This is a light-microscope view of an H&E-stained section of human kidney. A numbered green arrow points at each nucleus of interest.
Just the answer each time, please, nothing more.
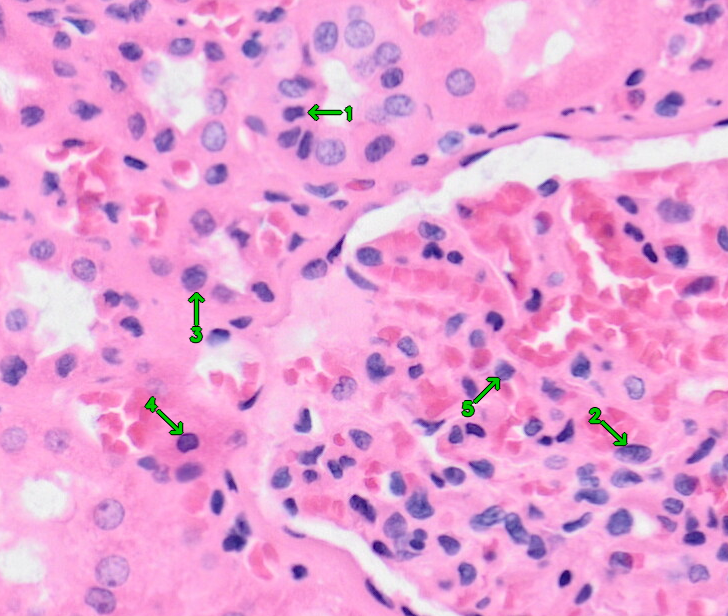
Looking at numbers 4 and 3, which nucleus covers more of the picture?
3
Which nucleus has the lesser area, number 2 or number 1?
1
